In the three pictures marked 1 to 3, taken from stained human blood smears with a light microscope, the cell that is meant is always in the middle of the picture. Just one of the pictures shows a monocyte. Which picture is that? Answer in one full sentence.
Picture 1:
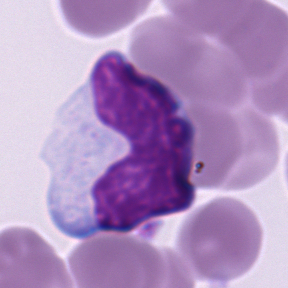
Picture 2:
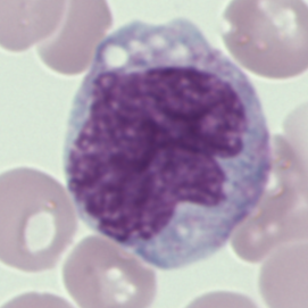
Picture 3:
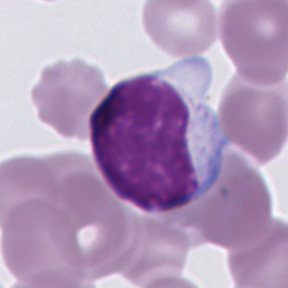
The monocyte is the one in picture 2.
